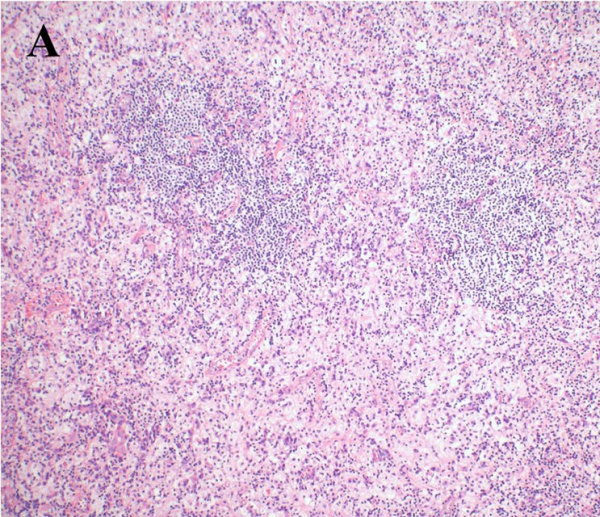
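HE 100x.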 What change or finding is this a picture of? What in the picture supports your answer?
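Alternating bright and dark bands. Pale pink zones alternate with darker purple zones. The dark zones are packed with small dark nuclei. The pale zones hold larger cells with lighter cytoplasm.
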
